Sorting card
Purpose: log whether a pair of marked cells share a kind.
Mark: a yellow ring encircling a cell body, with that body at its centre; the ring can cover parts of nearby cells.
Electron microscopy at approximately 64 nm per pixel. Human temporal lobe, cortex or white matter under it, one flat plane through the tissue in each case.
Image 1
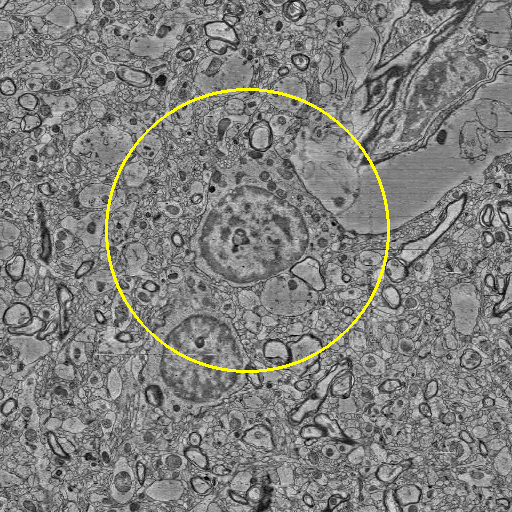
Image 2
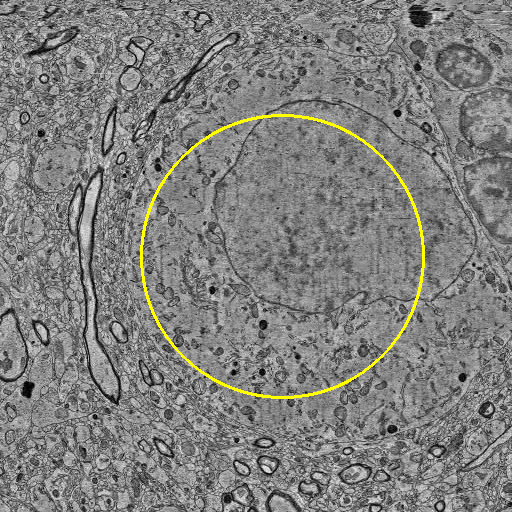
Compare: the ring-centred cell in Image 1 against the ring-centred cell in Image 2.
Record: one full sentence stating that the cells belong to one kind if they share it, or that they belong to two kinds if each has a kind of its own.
Across Images 1 and 2, the two ring-centred cells belong to two kinds.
